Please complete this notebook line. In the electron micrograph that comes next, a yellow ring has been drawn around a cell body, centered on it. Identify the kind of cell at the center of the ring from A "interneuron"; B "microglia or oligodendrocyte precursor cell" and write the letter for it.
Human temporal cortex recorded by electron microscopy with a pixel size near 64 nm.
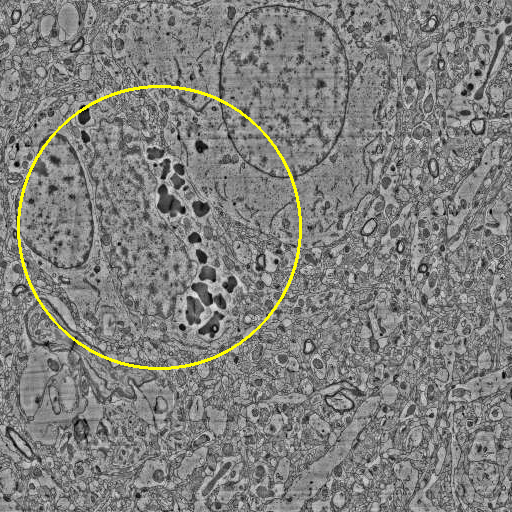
A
